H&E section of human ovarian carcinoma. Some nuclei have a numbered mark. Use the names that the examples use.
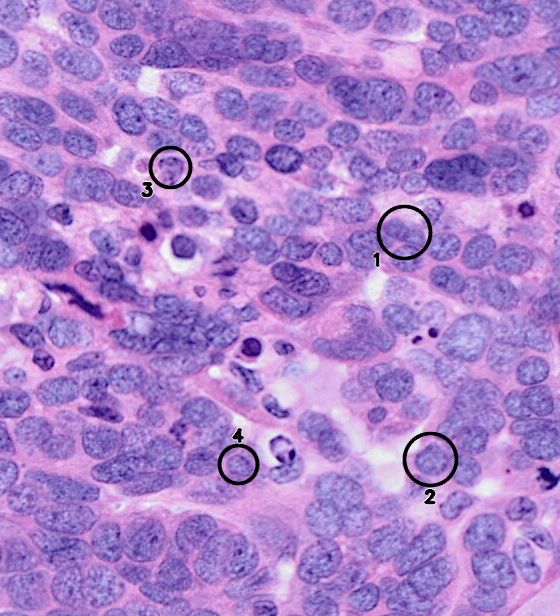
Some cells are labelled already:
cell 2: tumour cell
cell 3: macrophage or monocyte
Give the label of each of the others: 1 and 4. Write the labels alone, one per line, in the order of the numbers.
tumour cell
tumour cell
